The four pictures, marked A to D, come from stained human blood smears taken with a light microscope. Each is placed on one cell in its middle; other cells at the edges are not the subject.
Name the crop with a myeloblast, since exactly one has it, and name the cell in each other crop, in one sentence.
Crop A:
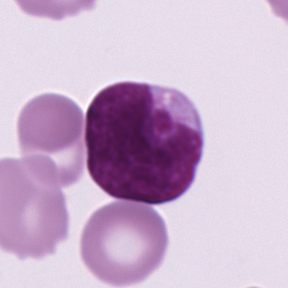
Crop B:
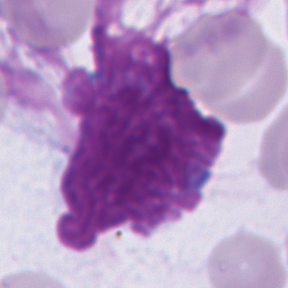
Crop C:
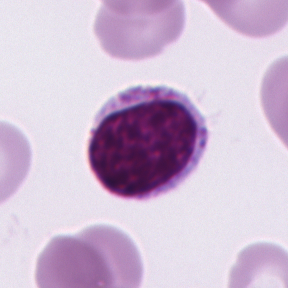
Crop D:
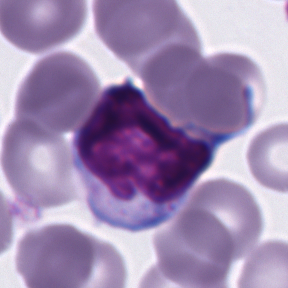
Crop A is a myeloblast and, for the others, crop B is a smudge cell, crop C is a large granular lymphocyte and crop D is a typical lymphocyte.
